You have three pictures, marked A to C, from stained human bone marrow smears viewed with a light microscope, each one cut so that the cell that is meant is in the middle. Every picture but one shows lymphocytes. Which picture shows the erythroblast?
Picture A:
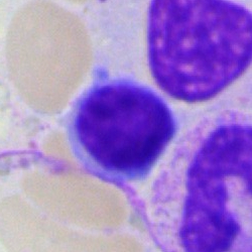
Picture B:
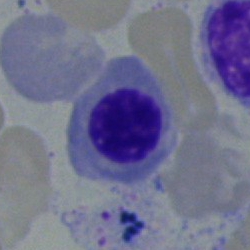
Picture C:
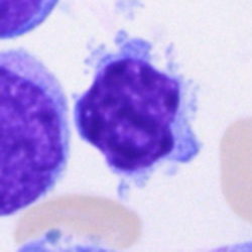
B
